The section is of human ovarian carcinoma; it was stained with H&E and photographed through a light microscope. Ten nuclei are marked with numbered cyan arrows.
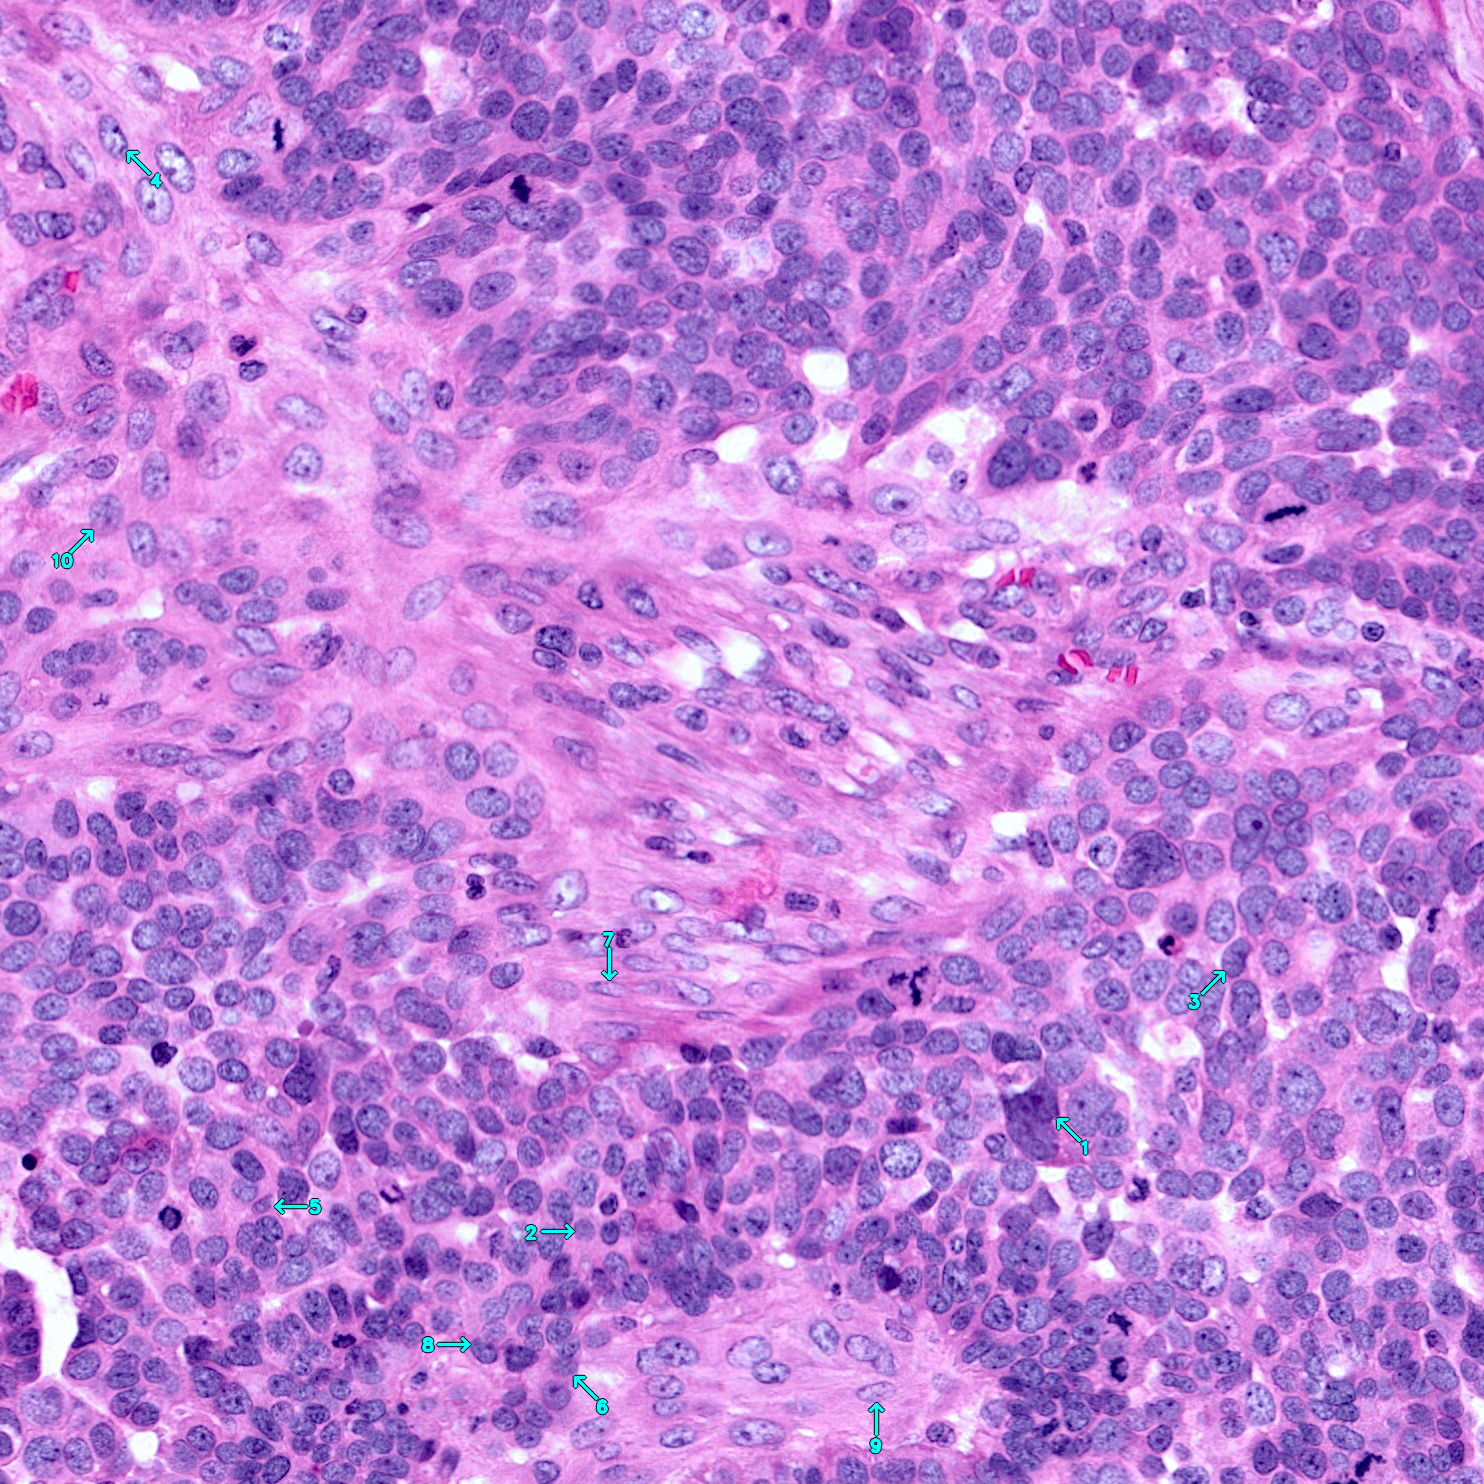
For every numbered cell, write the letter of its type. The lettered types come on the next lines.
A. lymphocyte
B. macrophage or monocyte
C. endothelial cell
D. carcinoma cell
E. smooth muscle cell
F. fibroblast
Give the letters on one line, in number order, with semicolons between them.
D; D; D; F; D; D; F; D; F; F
